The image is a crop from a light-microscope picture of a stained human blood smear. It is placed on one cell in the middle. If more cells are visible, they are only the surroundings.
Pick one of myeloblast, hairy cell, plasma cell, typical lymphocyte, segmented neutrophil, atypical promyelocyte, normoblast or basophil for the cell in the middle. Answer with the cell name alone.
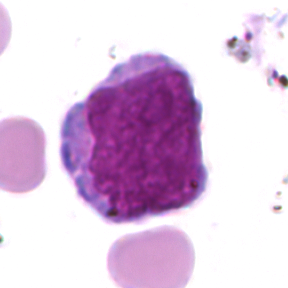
atypical promyelocyte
